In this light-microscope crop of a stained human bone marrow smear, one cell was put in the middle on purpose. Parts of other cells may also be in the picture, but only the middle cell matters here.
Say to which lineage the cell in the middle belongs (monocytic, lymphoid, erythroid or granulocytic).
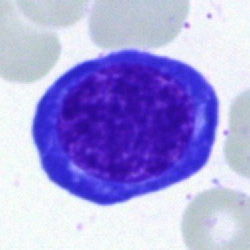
erythroid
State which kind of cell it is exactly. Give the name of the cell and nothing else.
erythroblast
